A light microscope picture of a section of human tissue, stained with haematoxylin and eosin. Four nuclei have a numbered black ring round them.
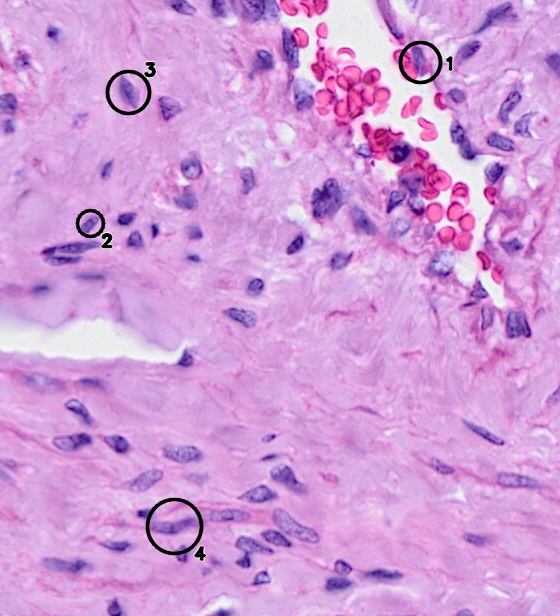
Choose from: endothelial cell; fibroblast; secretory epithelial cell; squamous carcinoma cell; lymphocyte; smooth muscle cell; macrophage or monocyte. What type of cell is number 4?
smooth muscle cell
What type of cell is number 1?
endothelial cell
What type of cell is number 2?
fibroblast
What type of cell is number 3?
fibroblast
